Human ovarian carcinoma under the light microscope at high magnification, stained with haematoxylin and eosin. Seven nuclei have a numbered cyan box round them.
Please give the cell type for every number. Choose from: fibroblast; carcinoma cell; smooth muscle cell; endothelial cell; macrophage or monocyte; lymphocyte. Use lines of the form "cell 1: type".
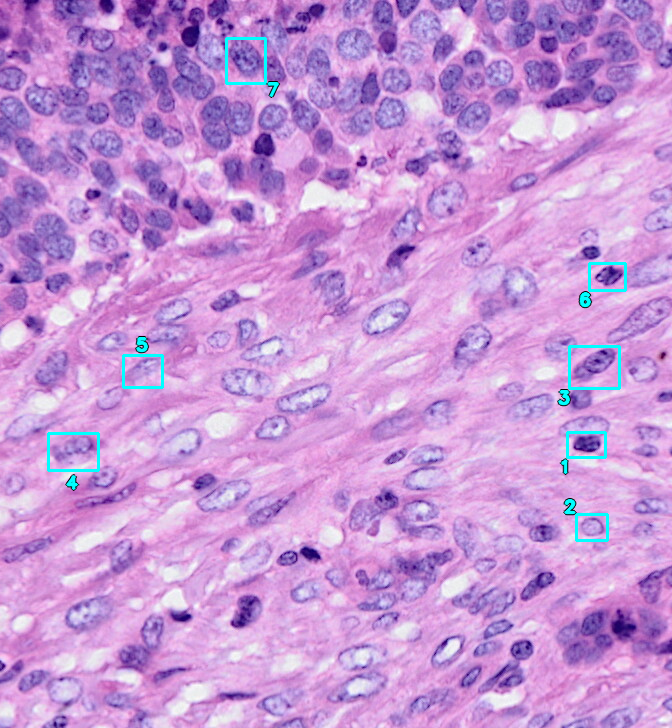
cell 1: lymphocyte
cell 2: fibroblast
cell 3: macrophage or monocyte
cell 4: fibroblast
cell 5: fibroblast
cell 6: lymphocyte
cell 7: carcinoma cell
